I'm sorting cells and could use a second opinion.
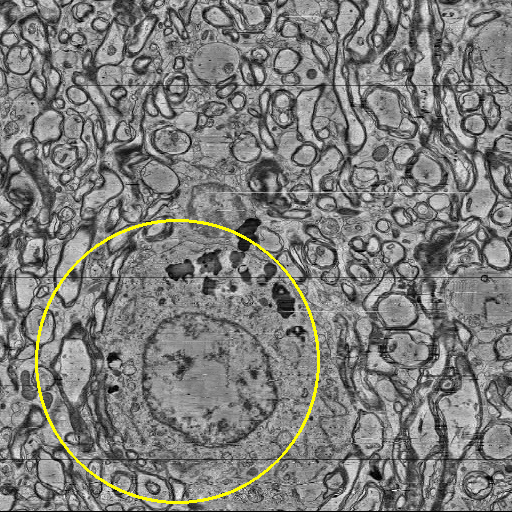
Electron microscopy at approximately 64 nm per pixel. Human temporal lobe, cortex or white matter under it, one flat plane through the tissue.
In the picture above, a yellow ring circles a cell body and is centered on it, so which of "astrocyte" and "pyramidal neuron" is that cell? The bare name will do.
pyramidal neuron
